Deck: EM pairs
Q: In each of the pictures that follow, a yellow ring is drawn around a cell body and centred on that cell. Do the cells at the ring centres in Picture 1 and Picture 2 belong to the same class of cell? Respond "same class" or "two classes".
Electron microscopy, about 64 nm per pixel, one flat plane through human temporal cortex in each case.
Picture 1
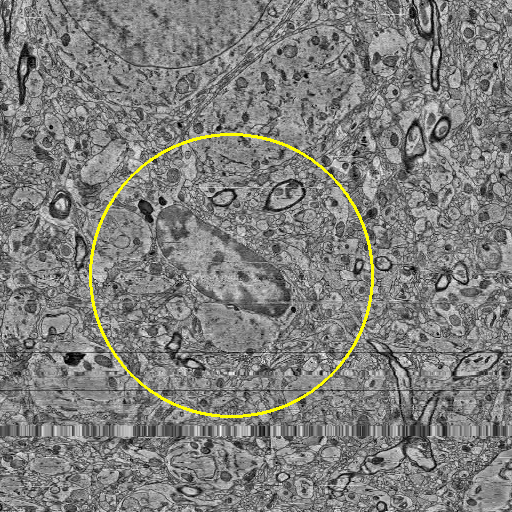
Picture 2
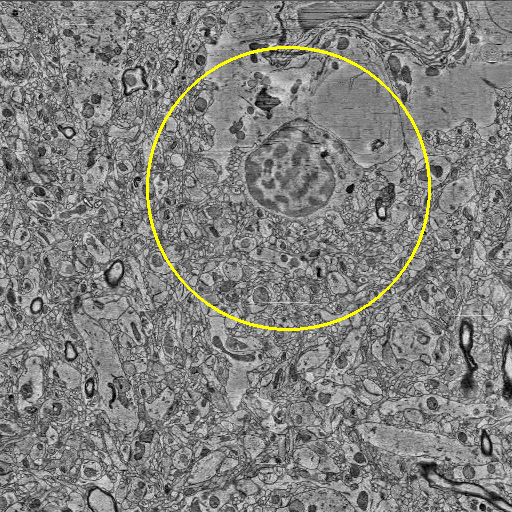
two classes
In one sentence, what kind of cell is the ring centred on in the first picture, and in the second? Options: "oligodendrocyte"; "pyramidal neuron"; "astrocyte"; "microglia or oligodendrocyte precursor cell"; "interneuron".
The cell at the centre of the second ring is an oligodendrocyte; the first ring's cell is a microglial cell or oligodendrocyte precursor cell.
